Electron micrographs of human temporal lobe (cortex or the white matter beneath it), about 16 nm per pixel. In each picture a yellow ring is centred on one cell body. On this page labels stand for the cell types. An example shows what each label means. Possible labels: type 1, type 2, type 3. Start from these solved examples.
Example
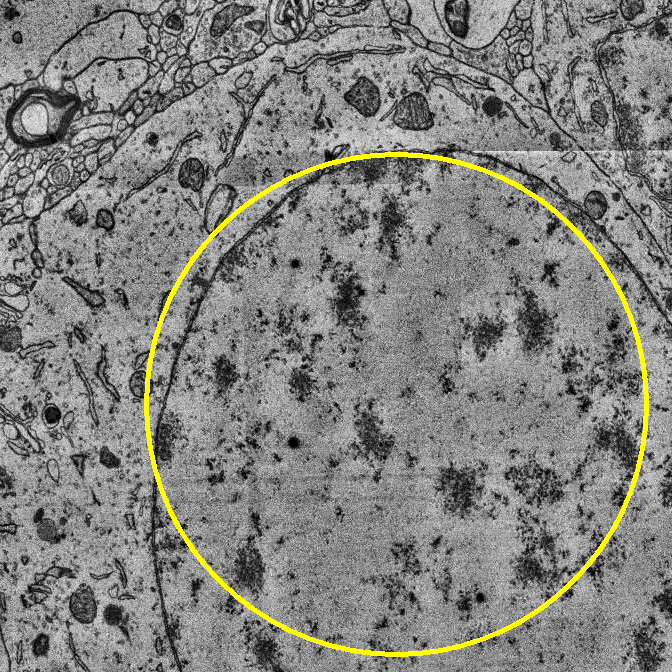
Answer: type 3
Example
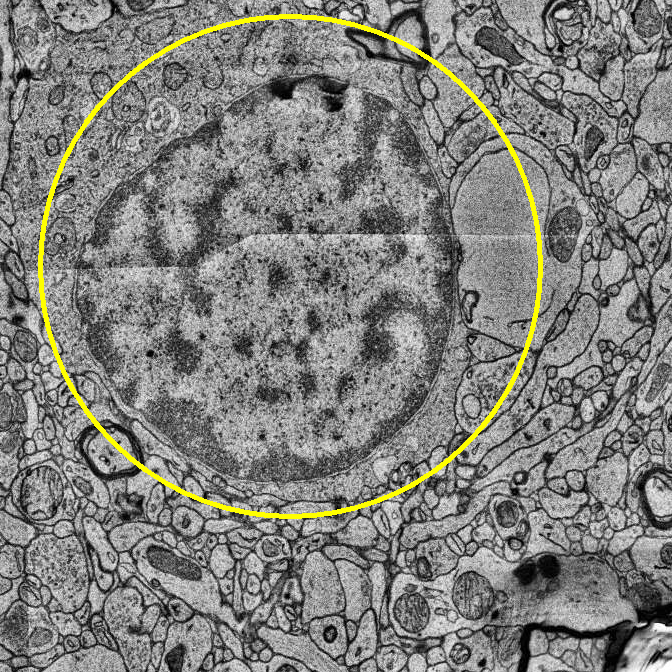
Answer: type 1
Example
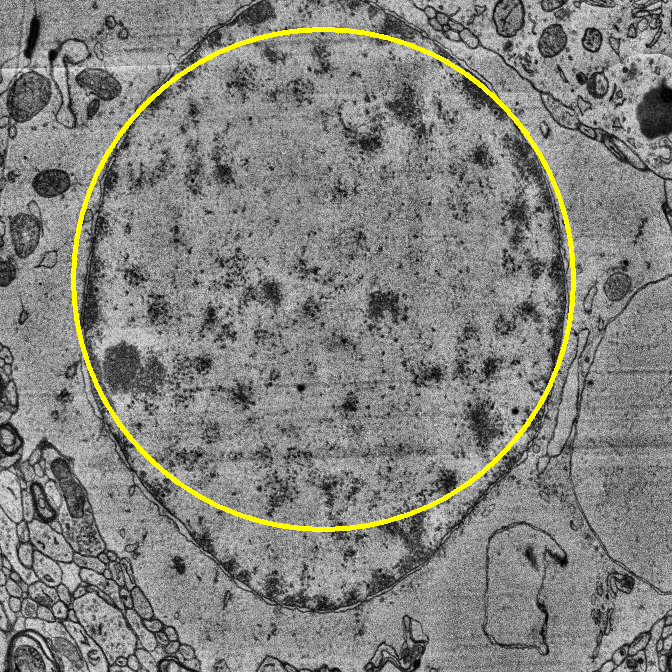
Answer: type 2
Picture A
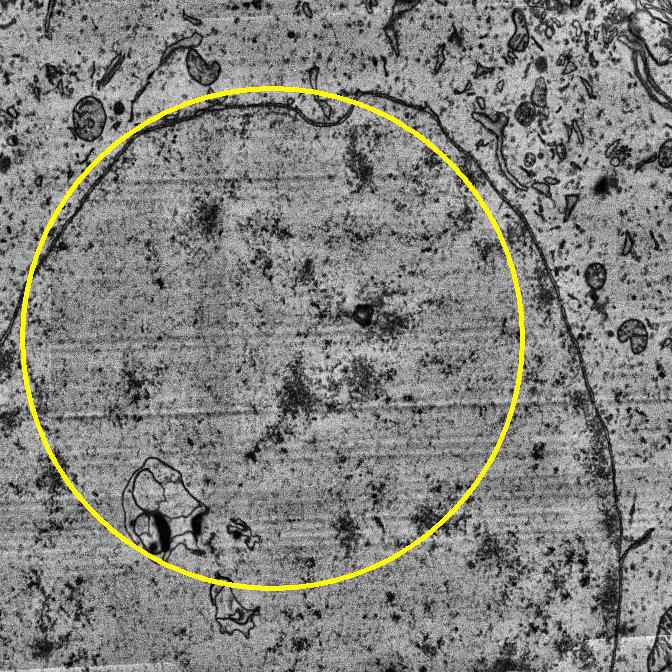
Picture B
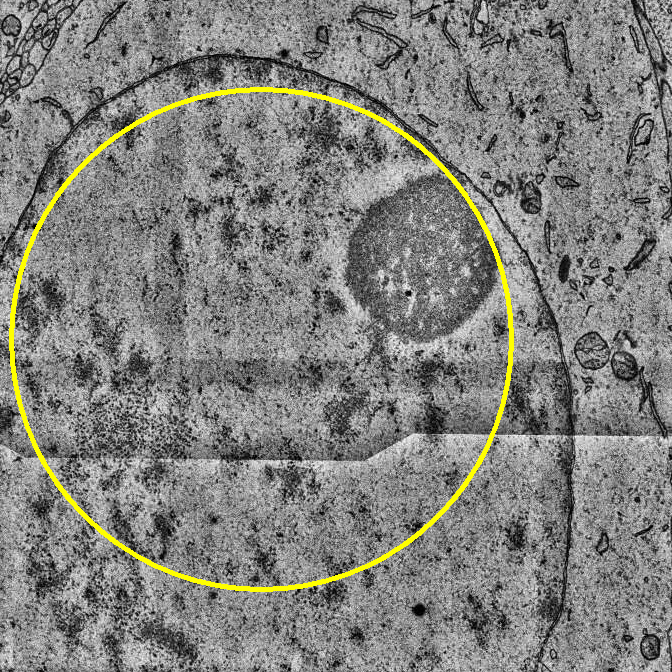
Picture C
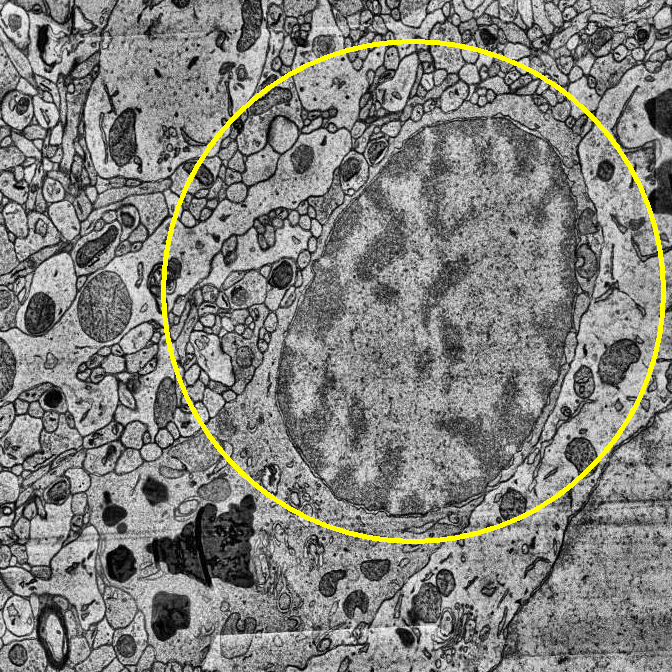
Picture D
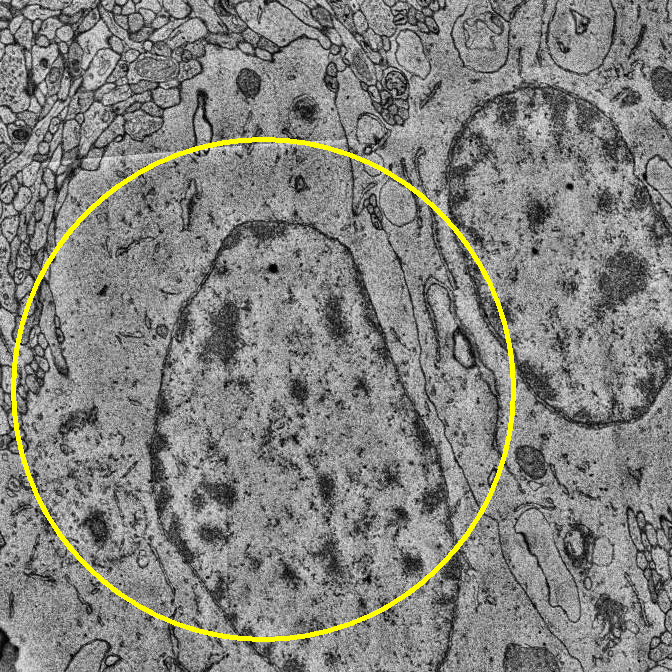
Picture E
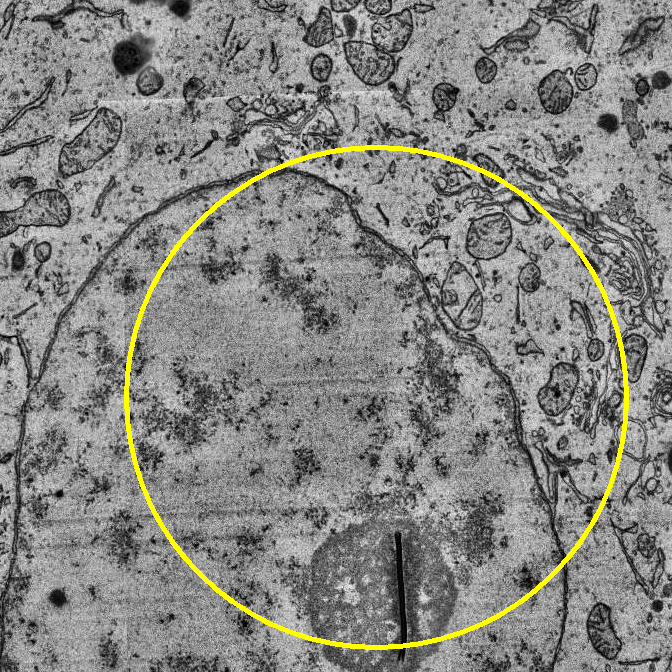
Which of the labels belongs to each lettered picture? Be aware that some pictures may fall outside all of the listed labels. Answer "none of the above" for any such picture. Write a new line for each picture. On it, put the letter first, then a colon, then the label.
A: type 3
B: type 3
C: type 1
D: type 2
E: type 3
